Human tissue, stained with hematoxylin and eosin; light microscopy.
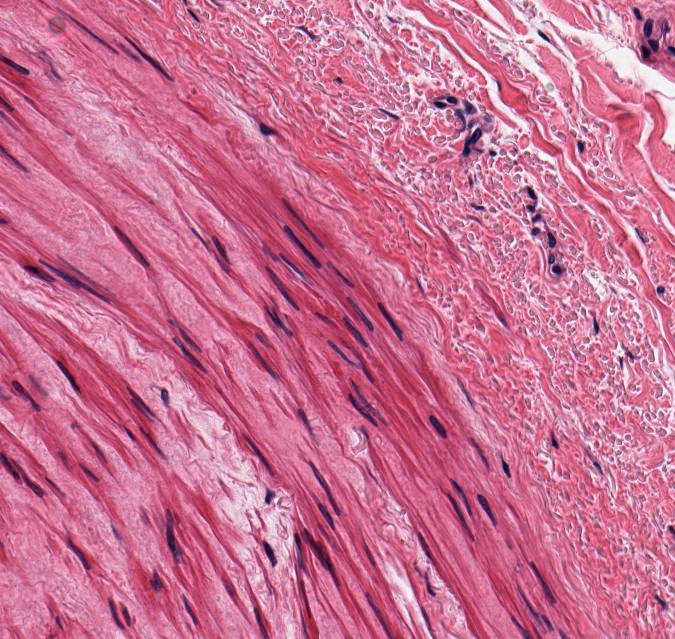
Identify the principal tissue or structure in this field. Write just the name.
tunica media of an artery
